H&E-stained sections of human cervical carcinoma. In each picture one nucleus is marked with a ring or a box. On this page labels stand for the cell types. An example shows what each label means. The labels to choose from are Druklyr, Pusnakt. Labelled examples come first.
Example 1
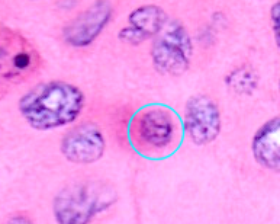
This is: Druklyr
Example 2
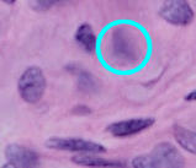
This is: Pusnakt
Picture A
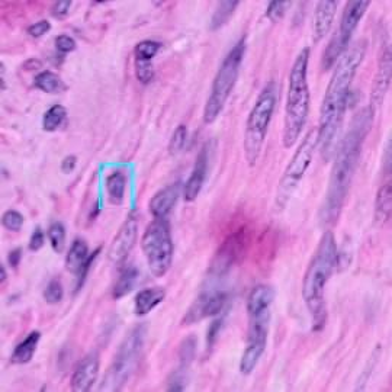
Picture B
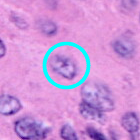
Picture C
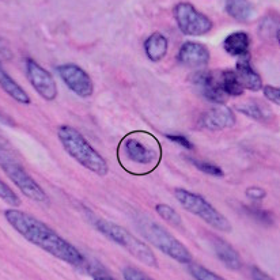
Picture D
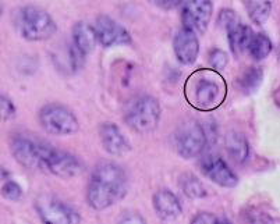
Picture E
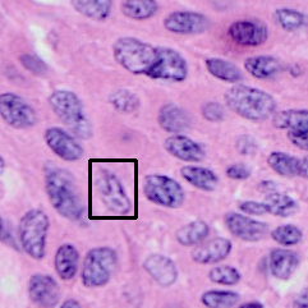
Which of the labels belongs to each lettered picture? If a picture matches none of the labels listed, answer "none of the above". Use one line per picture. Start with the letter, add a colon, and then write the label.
A: none of the above
B: Druklyr
C: none of the above
D: Druklyr
E: Druklyr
